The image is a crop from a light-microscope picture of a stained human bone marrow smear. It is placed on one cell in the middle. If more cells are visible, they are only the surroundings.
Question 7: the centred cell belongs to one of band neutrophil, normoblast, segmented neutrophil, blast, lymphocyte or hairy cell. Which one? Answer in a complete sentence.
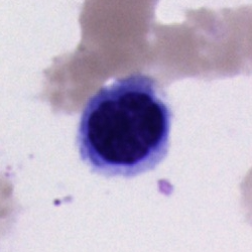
Here the centrally located cell is a normoblast.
